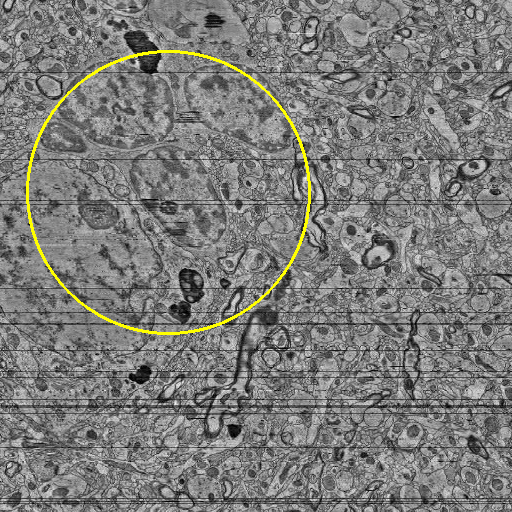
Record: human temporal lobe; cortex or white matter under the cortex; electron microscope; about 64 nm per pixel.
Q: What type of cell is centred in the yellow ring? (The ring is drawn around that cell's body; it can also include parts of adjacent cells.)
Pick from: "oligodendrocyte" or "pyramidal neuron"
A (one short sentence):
The yellow ring is centred on an oligodendrocyte.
